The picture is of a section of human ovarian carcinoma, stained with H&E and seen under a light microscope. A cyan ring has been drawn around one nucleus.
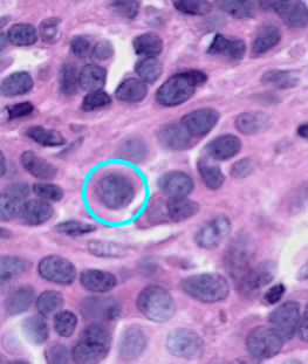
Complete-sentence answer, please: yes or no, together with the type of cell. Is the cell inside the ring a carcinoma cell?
Yes, the cell inside the ring is recognized as a carcinoma cell in this section.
